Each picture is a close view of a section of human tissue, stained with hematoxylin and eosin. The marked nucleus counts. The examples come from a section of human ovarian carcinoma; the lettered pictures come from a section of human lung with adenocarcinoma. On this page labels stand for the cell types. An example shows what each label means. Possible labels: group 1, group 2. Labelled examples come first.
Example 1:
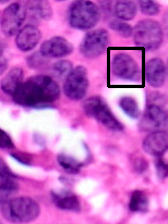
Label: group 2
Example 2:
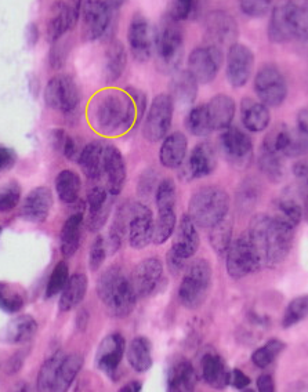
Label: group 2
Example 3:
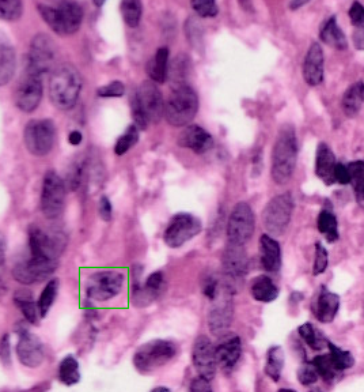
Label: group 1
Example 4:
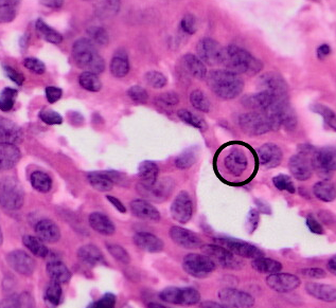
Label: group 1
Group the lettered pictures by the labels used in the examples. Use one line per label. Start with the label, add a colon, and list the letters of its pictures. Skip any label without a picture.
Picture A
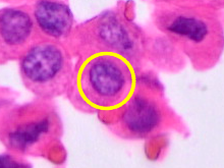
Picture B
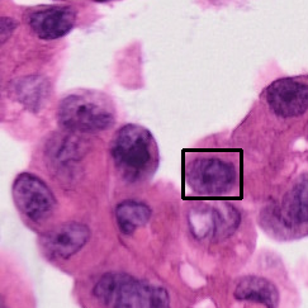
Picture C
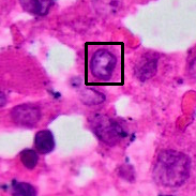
group 1: C
group 2: A, B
